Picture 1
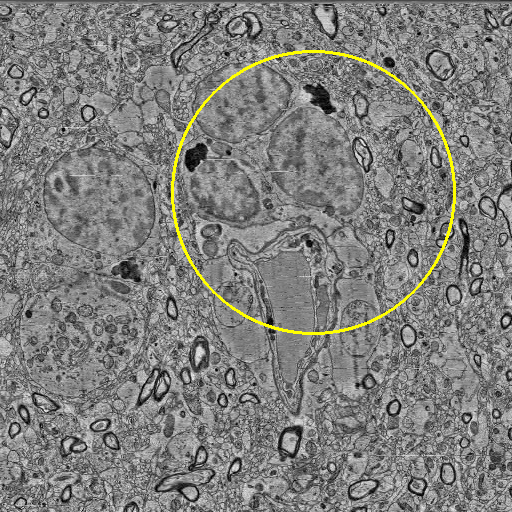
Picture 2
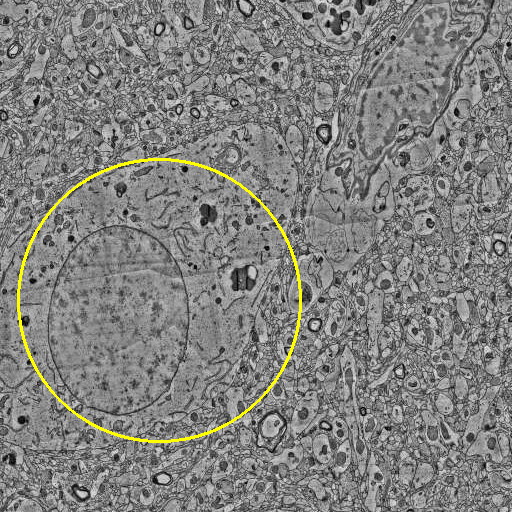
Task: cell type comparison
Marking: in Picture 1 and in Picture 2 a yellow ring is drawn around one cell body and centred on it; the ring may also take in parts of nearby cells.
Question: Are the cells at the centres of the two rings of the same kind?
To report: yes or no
no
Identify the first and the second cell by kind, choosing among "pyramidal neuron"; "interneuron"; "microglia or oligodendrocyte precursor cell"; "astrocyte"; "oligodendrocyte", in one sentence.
The one in the first picture is an oligodendrocyte, while the one in the second is a pyramidal neuron.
